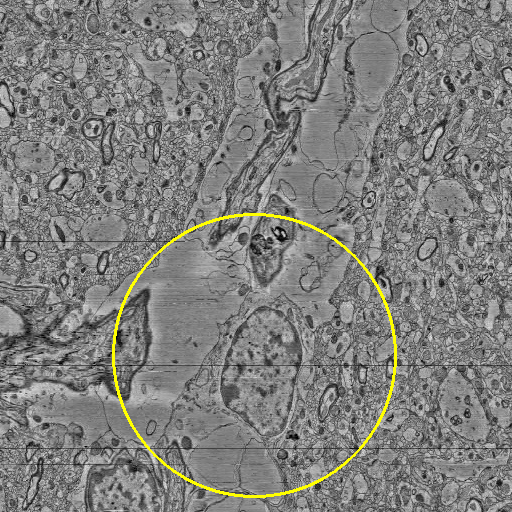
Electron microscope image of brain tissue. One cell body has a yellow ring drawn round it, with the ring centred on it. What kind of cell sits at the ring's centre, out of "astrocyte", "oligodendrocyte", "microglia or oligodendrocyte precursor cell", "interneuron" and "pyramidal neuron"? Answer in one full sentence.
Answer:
It is a microglial cell or oligodendrocyte precursor cell whose cell body sits at the centre of the yellow ring.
